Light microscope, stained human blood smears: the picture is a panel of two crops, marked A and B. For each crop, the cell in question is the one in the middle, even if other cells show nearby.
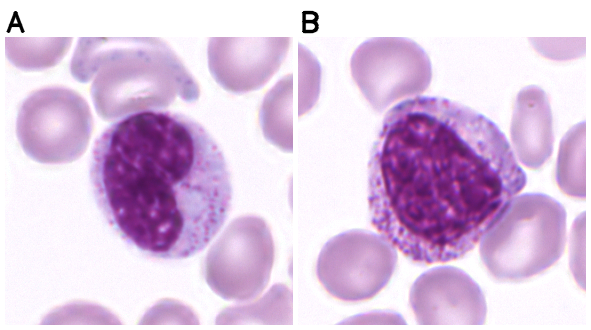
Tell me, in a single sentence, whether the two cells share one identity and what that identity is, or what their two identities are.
Yes, it is metamyelocytes that both crops show.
